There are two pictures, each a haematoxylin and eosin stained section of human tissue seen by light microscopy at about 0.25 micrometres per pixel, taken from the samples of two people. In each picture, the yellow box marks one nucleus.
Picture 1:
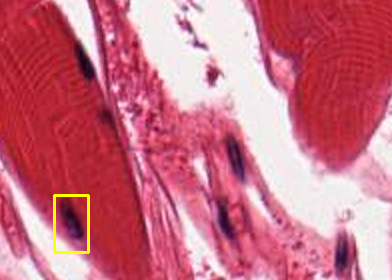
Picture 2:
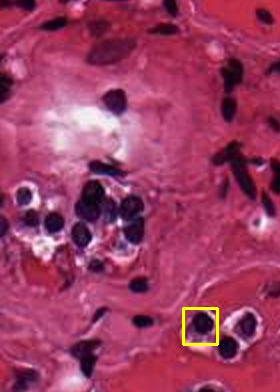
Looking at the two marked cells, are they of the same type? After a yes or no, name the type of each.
No, the first is a skeletal muscle fibre and the second a thyroid follicular cell.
